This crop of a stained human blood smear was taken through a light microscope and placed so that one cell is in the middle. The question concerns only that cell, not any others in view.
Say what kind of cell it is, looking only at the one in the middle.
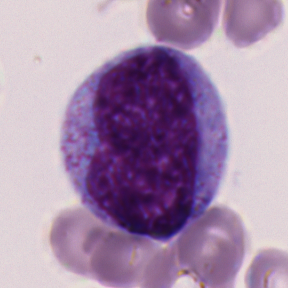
promyelocyte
